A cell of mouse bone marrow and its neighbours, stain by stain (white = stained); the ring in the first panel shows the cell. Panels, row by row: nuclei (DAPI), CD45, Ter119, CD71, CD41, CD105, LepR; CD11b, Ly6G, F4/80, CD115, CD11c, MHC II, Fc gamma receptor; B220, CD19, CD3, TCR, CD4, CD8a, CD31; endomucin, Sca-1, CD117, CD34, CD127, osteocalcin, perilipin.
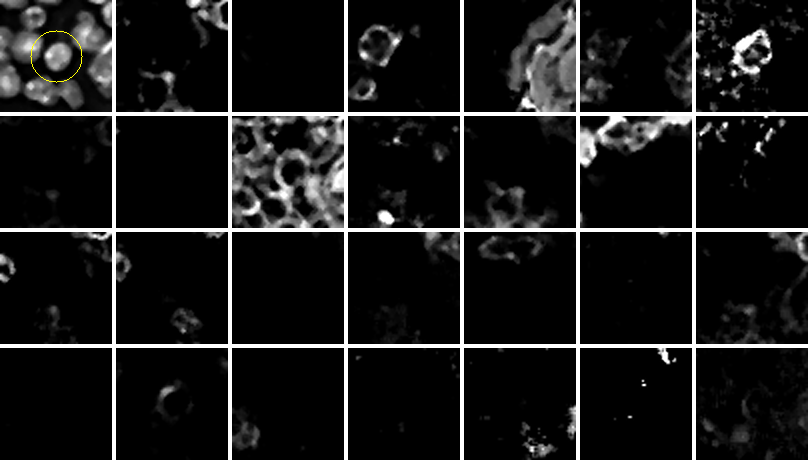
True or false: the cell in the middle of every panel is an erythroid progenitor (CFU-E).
False; it is a LepR-positive perivascular cell.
